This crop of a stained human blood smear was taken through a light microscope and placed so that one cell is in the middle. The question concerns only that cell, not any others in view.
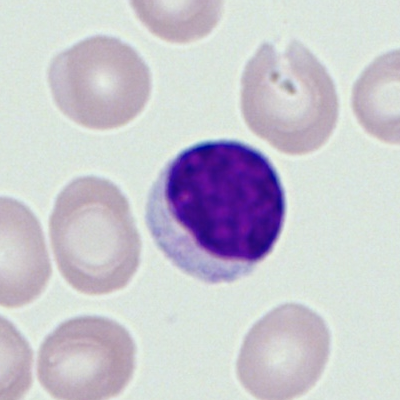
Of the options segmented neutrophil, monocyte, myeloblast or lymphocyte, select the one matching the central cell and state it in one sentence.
The single cell at the center of the crop is a lymphocyte.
